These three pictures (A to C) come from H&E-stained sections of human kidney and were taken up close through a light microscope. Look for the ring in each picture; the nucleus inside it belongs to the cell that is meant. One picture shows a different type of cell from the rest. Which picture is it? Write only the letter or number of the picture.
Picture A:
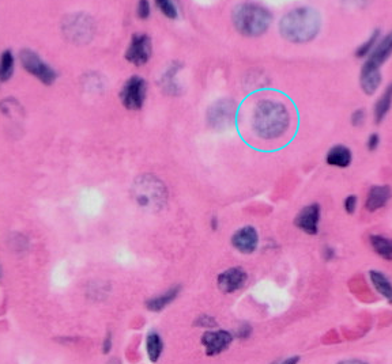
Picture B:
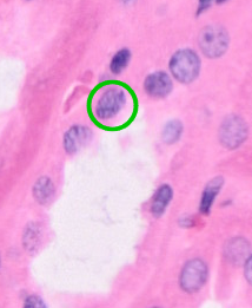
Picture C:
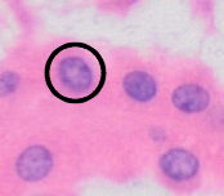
C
